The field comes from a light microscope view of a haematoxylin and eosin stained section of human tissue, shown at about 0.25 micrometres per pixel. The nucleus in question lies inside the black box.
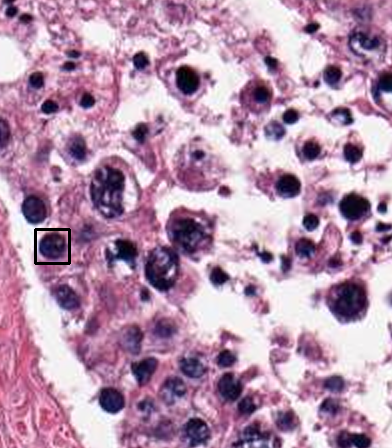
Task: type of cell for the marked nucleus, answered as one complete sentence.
Within a spermatogonium lies the marked nucleus.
